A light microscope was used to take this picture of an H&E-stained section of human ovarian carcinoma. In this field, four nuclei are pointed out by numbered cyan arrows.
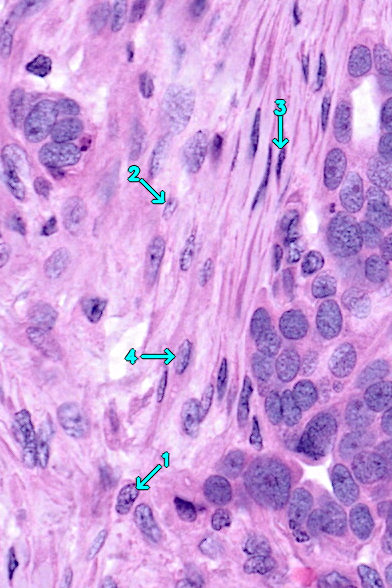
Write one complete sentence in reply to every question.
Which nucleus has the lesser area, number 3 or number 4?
Nucleus 3 covers less area, with nucleus 4 about 2.5 times as large.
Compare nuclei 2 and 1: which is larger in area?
Nucleus 1 is larger, with an area about 2.5 times that of nucleus 2.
